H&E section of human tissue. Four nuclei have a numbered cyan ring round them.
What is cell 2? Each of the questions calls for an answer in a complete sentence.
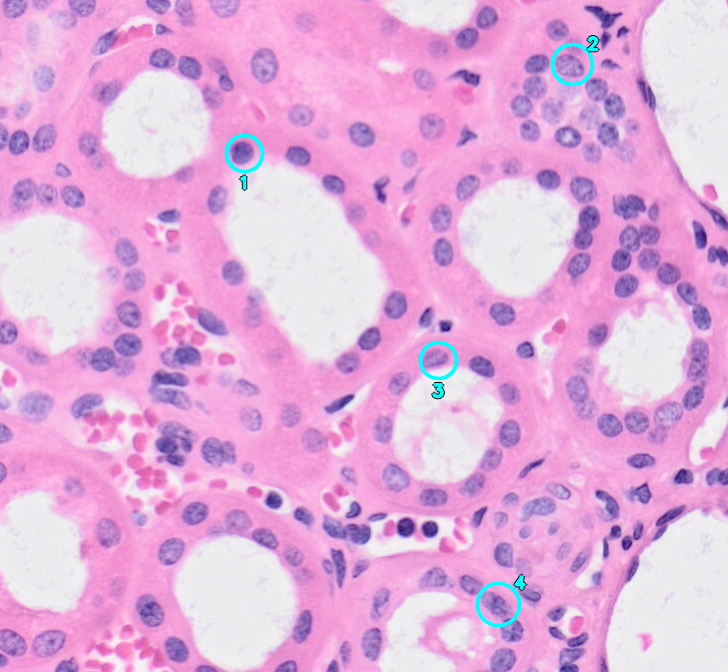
The cell bearing label 2 corresponds to a collecting duct cell.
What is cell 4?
Belonging to a collecting duct cell is the nucleus that carries the number 4.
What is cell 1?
The marked nucleus 1 is that of a loop of Henle or distal tubule cell.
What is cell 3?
The correct answer for cell 3 is a loop of Henle or distal tubule cell.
